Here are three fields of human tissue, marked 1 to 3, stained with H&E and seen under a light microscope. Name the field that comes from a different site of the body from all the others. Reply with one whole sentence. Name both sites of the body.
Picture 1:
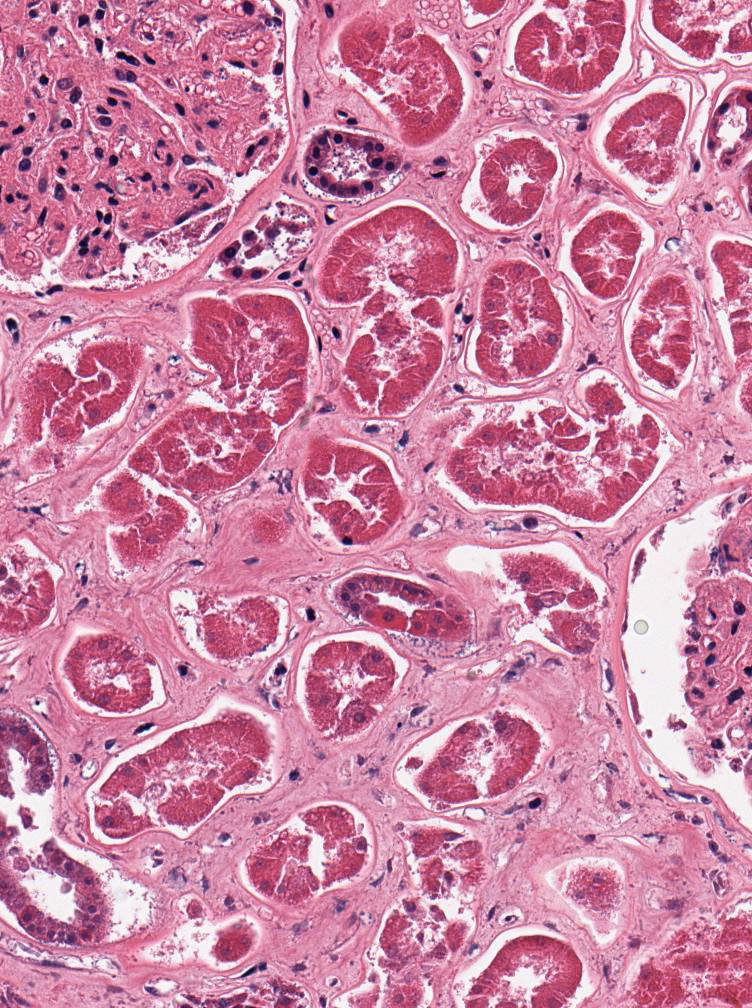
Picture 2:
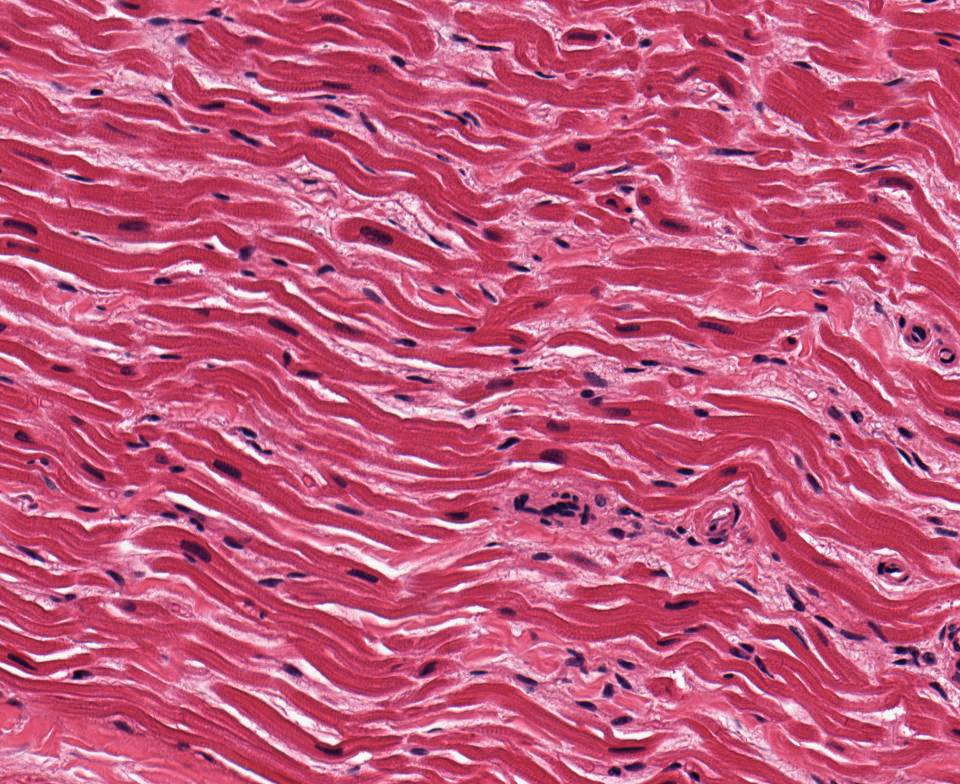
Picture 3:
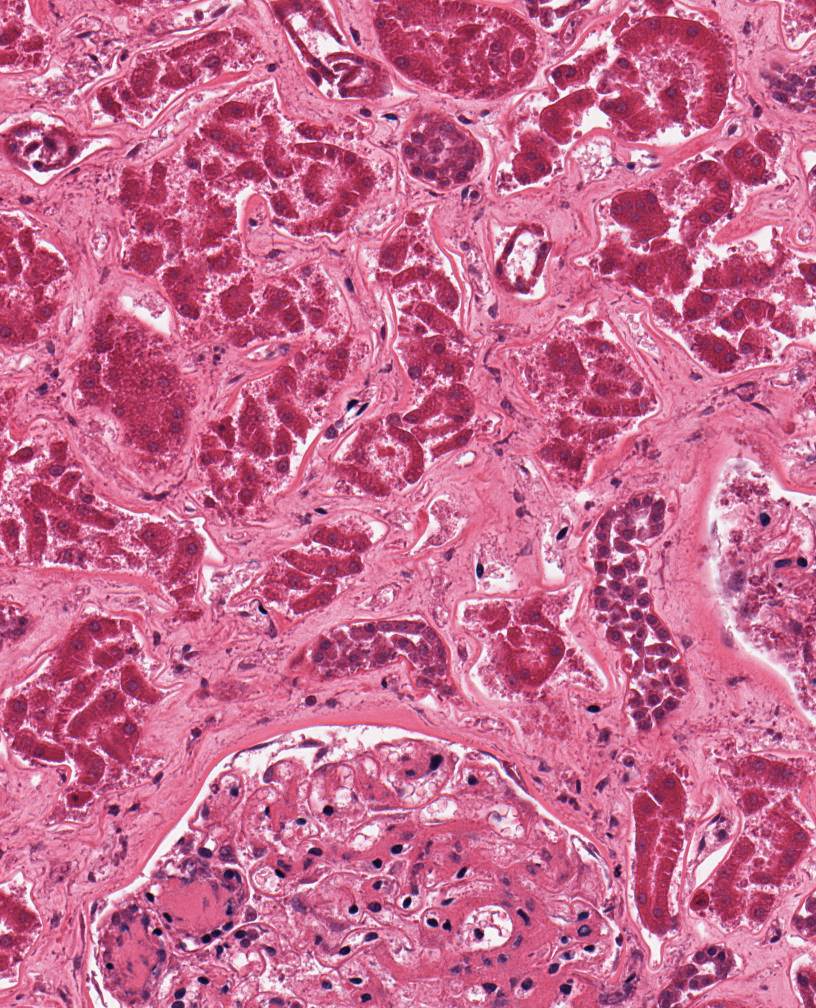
Picture 2 is the odd one out: it comes from the atrial appendage of the heart, while the others come from the renal cortex.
